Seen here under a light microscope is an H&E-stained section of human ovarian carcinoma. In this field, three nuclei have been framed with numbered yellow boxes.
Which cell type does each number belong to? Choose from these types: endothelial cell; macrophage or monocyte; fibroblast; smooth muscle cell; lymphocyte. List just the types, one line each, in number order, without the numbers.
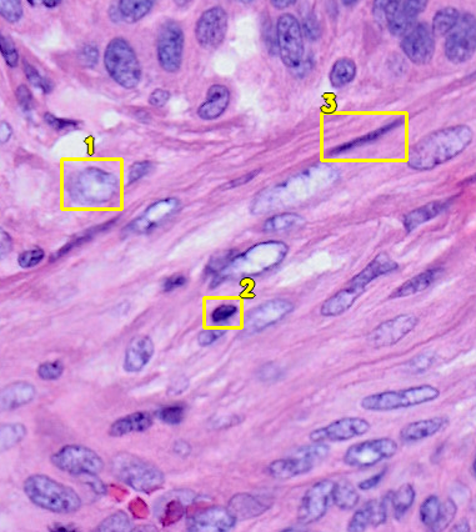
fibroblast
lymphocyte
fibroblast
